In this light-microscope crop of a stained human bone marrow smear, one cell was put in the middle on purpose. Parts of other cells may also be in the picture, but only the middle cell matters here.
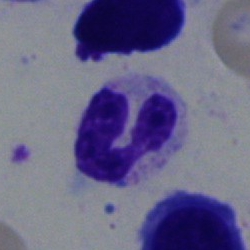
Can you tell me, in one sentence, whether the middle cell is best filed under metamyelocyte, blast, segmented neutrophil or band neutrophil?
For this crop, the cell in the middle is a segmented neutrophil.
